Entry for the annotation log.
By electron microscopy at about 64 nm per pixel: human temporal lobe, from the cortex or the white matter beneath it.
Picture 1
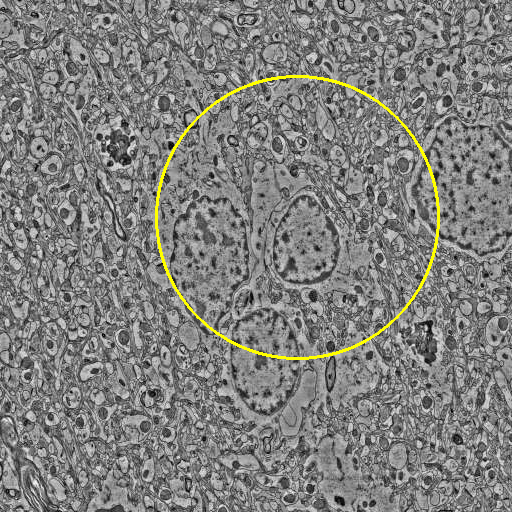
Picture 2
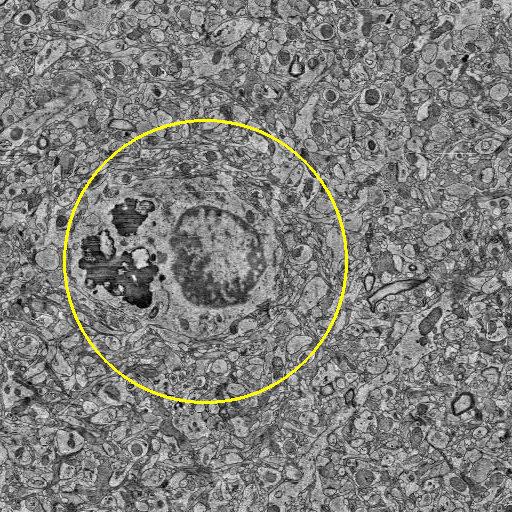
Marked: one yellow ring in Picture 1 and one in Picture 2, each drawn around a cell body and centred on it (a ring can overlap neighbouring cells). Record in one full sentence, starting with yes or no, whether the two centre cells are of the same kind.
Yes, both cells are of the same kind.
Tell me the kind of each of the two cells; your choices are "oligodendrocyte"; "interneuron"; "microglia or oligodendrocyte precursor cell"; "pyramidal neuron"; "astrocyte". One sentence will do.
Both rings mark an astrocyte, one in each picture.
